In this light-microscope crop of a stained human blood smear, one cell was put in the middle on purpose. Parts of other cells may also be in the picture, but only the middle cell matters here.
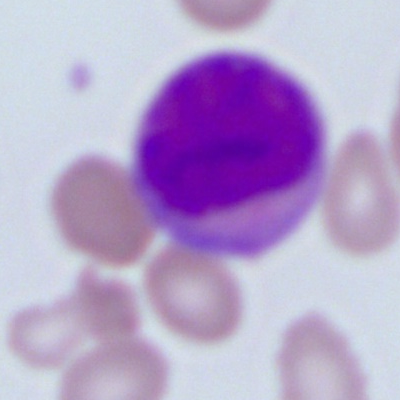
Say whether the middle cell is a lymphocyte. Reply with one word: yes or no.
no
